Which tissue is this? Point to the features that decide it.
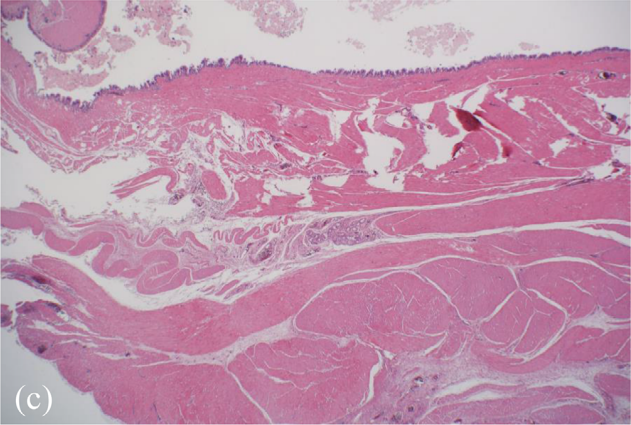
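Two thick pink bands of fibrous muscle tissue run along the wall. A thinner loose band with small vessels separates the two pink bands. A thin dark epithelial lining sits at the top surface facing the lumen. So: two muscle layers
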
